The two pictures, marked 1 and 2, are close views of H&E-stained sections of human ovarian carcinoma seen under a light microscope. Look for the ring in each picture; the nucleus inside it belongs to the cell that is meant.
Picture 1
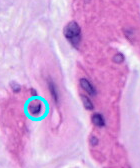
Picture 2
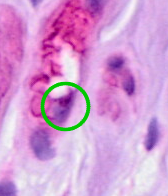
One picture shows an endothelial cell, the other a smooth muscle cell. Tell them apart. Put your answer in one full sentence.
The cell in picture 1 is a smooth muscle cell, and the one in picture 2 is an endothelial cell.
